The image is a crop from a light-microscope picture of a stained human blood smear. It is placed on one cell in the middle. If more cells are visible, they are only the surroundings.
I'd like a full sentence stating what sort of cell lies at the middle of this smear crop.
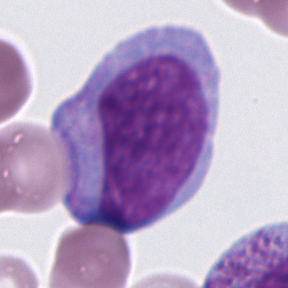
The cell in the middle of the field of view is an atypical promyelocyte.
